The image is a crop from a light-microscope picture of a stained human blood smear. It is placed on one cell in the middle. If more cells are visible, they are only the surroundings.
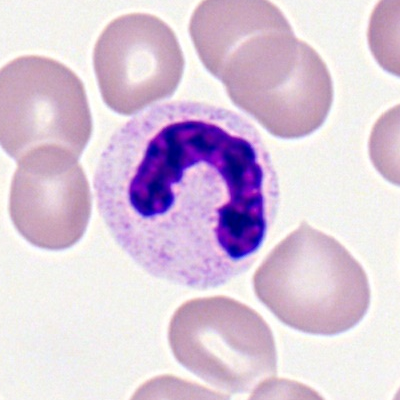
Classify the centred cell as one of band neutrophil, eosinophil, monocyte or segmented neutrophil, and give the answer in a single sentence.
Standing at the centre of this crop is a band neutrophil.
